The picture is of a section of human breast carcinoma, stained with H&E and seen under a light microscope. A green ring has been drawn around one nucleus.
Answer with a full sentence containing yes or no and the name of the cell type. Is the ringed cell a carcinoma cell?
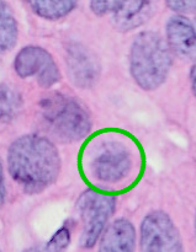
Yes, in this field of view, the ringed cell is a carcinoma cell.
